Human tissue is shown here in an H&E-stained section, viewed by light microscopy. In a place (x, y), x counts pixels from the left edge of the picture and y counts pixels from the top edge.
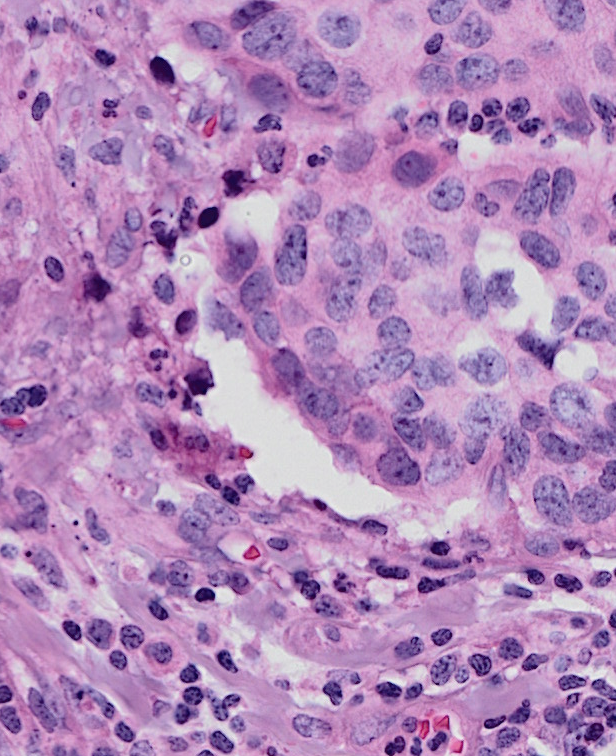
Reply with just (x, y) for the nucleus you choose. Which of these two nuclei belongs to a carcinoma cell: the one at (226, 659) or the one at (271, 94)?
(271, 94)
